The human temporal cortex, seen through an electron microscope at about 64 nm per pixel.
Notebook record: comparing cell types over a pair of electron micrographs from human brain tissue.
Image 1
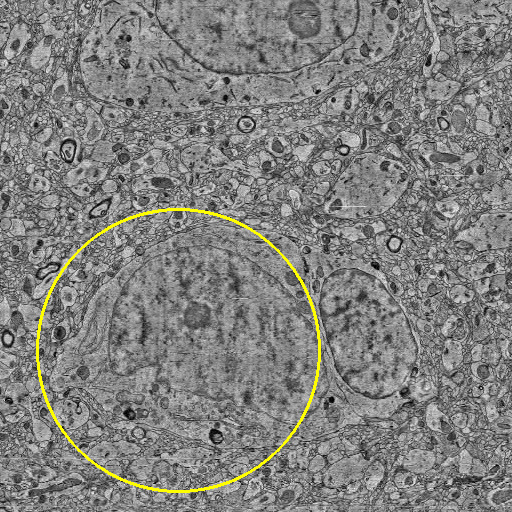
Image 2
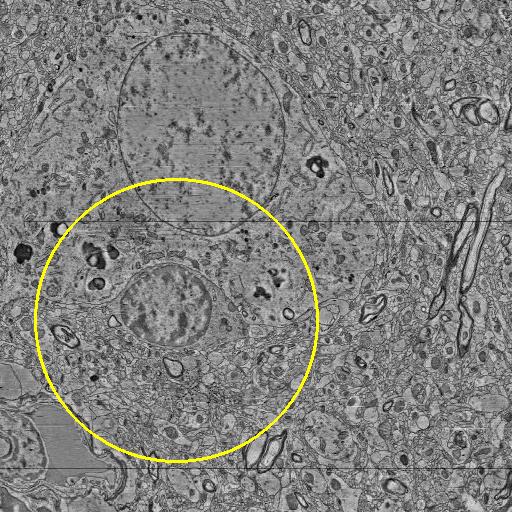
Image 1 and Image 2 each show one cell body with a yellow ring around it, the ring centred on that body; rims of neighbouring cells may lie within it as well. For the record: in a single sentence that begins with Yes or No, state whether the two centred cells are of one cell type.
No, two cell types are found among the centred cells of Image 1 and Image 2.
